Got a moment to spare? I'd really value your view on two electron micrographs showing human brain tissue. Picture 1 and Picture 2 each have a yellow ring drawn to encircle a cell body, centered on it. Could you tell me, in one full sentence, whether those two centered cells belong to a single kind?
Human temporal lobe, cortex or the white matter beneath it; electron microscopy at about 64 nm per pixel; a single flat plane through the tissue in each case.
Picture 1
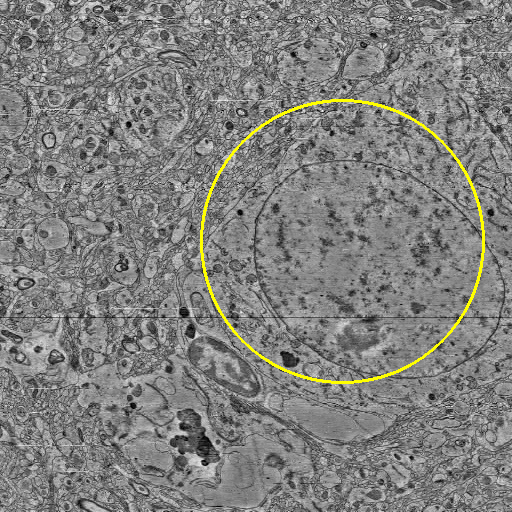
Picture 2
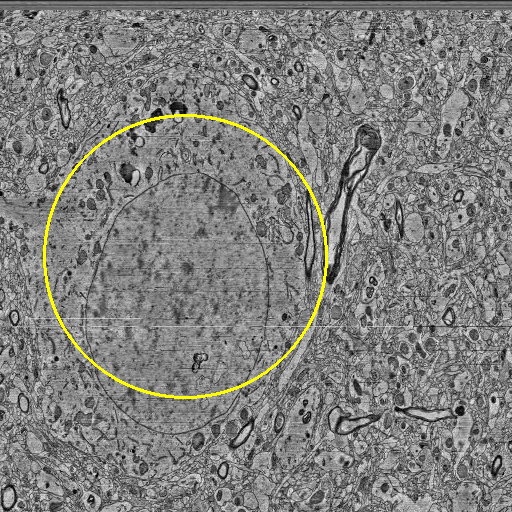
Yes, the two centered cells in Picture 1 and Picture 2 are of a single kind.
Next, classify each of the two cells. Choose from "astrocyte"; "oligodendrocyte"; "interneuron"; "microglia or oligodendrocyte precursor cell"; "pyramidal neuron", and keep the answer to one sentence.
Both pictures show a pyramidal neuron at the centre of the ring.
